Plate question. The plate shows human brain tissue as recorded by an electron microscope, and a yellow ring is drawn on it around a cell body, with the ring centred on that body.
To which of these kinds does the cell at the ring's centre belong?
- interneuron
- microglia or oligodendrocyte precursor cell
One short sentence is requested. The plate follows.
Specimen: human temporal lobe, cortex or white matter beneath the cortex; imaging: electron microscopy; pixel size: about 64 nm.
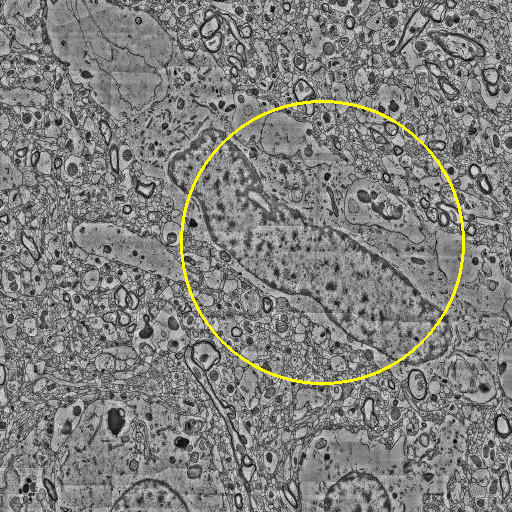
The cell at the ring's centre is a microglial cell or oligodendrocyte precursor cell.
